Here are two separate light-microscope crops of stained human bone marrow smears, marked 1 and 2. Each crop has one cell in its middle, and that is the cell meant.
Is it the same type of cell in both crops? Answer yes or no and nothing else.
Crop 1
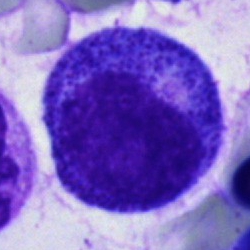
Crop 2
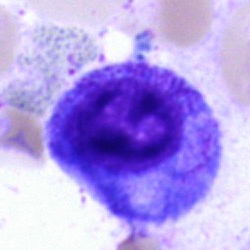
yes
